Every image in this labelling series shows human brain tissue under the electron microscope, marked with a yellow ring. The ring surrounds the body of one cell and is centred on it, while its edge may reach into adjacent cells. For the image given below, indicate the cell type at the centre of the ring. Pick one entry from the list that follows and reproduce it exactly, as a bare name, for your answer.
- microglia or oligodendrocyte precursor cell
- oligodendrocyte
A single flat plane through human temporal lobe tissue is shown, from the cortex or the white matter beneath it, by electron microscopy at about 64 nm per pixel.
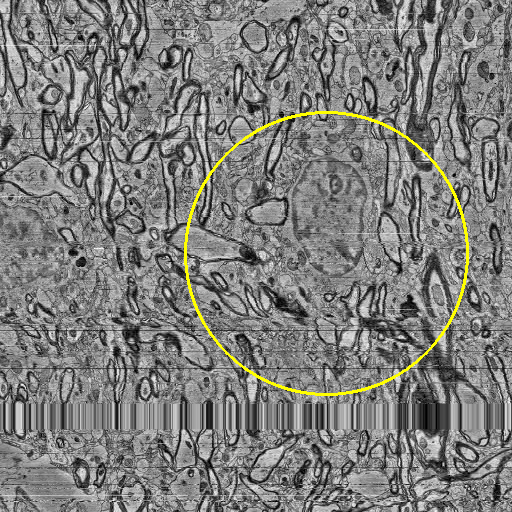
oligodendrocyte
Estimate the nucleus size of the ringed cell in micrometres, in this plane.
The nucleus measures about 8 by 5 micrometres in this plane.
